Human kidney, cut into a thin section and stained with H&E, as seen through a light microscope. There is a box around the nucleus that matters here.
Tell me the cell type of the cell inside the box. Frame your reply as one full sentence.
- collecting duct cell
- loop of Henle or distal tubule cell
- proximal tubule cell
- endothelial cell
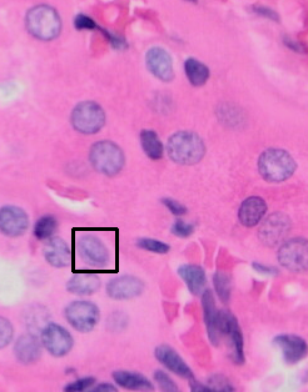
The expected answer is simply that the cell inside the box is a collecting duct cell.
